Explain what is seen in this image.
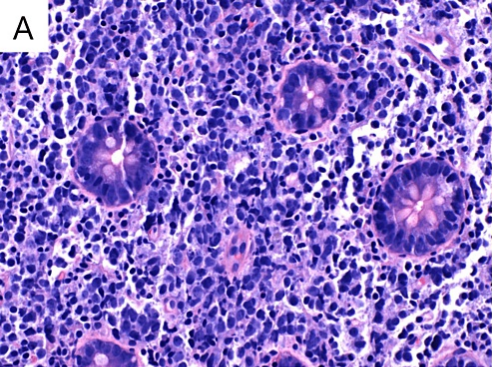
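This is colonic mucosa in which the lamina propria between the crypts is packed with intermediate-sized atypical lymphocytes mixed with a few small lymphocytes. The crypts appear as round cross-sections lined by tall columnar epithelium with pale mucin around a small central lumen. The infiltrating cells are round with dark purple nuclei and scant cytoplasm, lying in crowded sheets that push between the crypts. No follicles with germinal centers are seen.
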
